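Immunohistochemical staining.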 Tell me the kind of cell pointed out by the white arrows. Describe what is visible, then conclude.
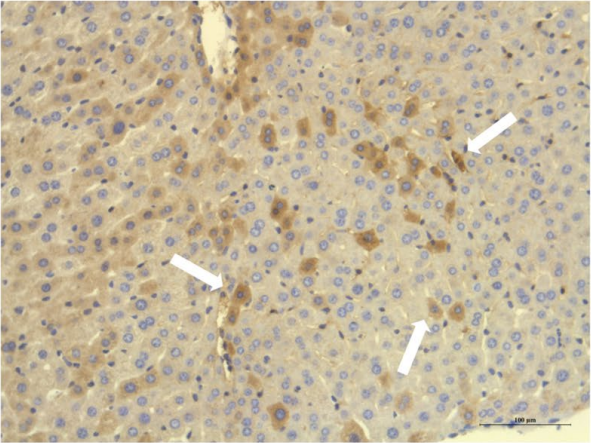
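The arrowed cells are large and polygonal with round nuclei. The arrowed cells have brown-stained cytoplasm. The brown cells are scattered among unstained liver cells arranged in cords.
Answer: hepatocytes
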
